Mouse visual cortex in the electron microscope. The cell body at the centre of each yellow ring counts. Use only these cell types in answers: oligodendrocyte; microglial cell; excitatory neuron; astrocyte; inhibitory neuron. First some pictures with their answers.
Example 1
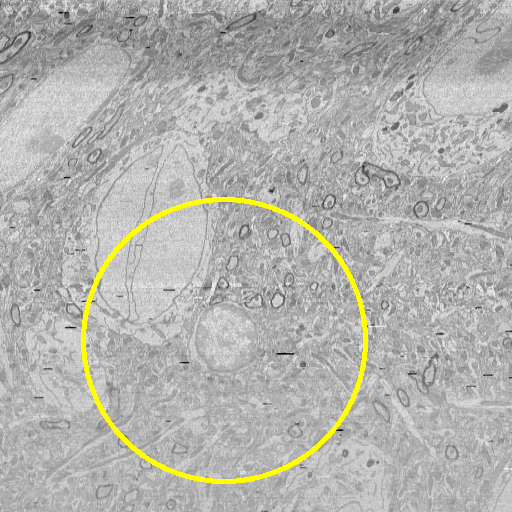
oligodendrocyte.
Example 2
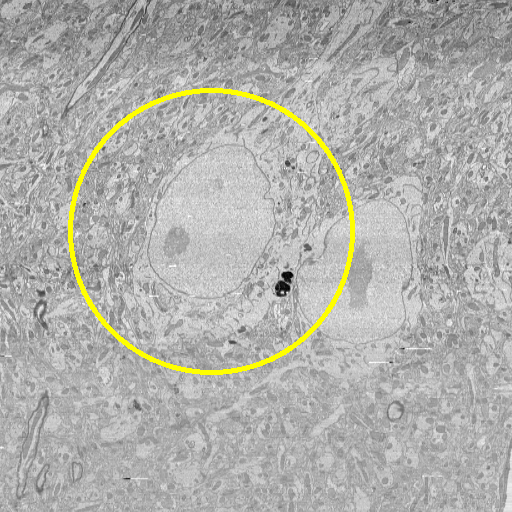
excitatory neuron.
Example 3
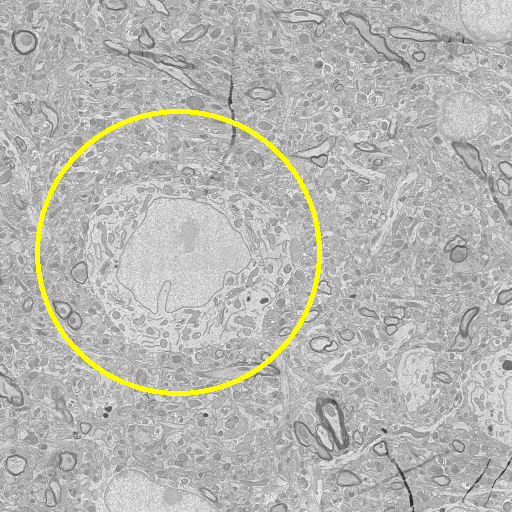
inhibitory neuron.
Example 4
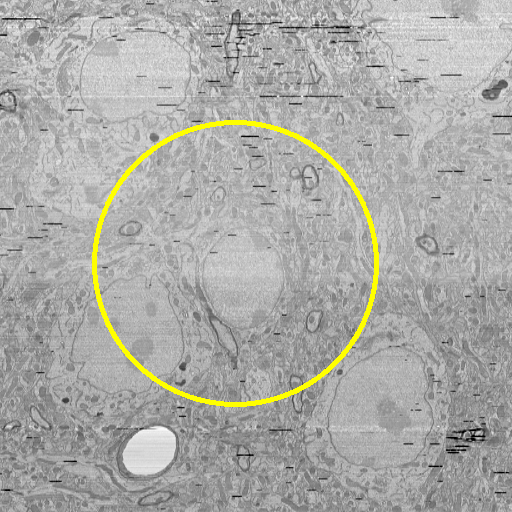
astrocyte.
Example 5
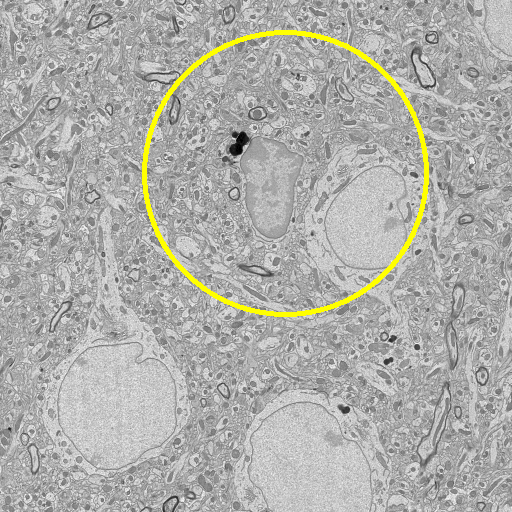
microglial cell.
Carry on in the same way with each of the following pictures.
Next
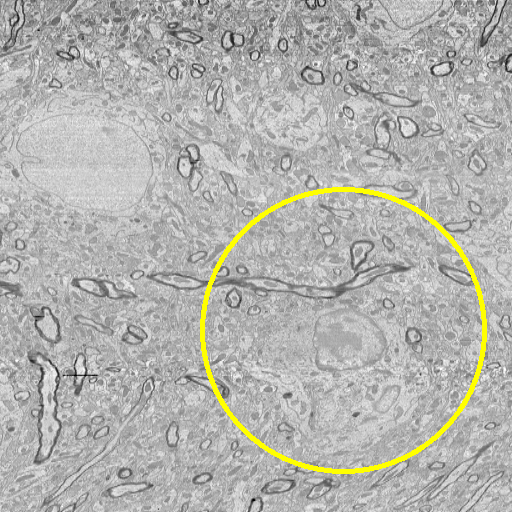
oligodendrocyte.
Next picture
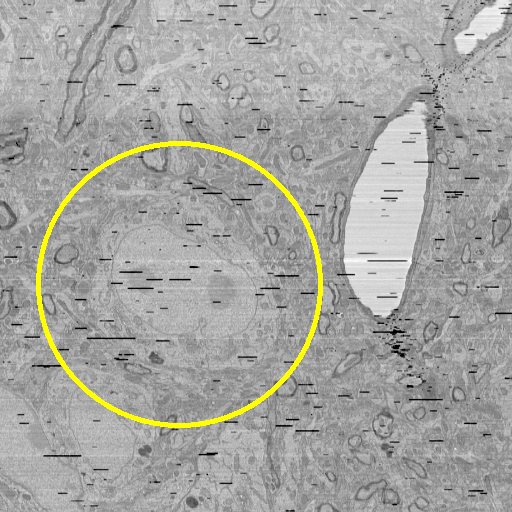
excitatory neuron.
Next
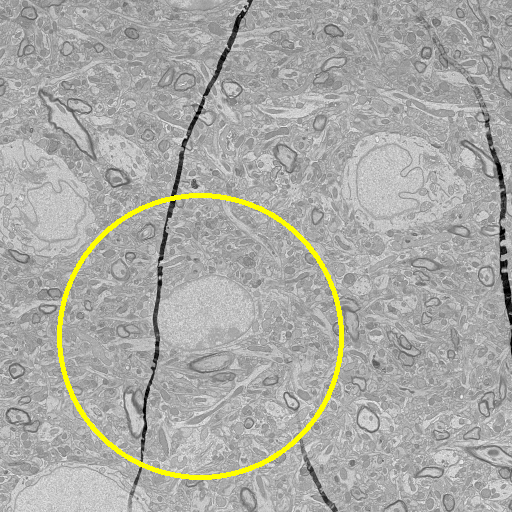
astrocyte.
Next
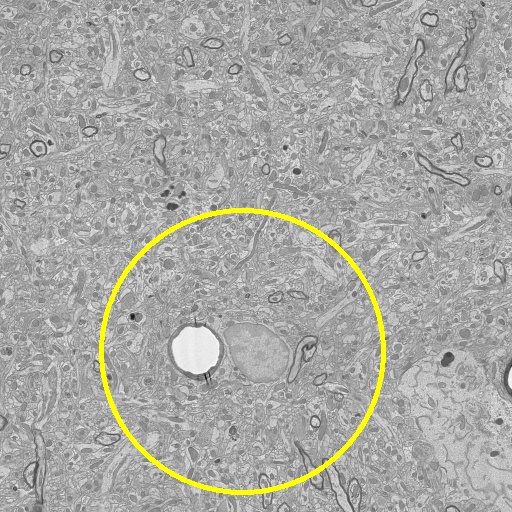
microglial cell.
